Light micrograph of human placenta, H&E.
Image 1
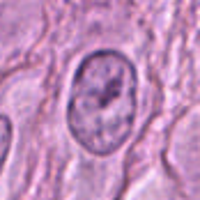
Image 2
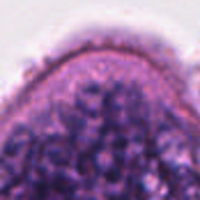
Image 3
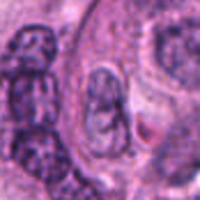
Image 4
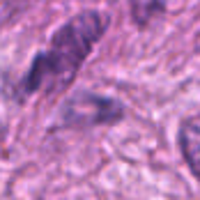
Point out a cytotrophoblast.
That is picture 3.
